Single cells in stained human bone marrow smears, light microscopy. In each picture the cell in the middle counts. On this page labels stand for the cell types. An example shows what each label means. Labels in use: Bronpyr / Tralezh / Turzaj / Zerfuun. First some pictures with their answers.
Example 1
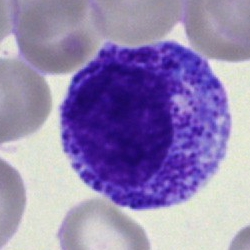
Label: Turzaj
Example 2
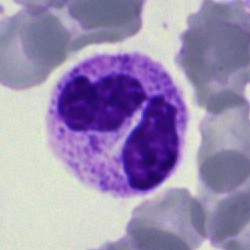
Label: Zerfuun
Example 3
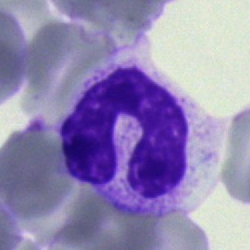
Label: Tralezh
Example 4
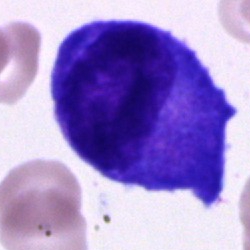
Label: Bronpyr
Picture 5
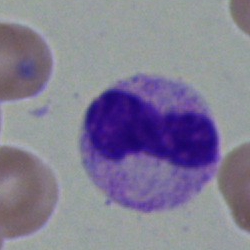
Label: Tralezh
